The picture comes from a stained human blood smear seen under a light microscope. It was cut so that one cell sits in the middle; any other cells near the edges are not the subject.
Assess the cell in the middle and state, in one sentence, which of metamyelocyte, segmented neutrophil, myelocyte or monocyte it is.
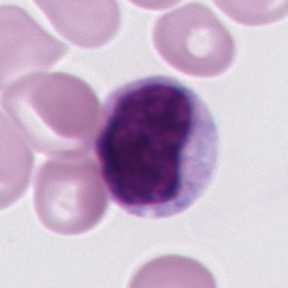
On this slide crop, the central cell is a metamyelocyte.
